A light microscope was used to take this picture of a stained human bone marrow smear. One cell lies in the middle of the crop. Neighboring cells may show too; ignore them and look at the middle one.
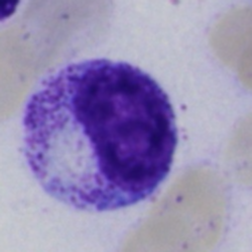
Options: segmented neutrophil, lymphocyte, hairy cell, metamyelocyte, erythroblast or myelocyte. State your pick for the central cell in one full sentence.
Here the cell in the middle is a myelocyte.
